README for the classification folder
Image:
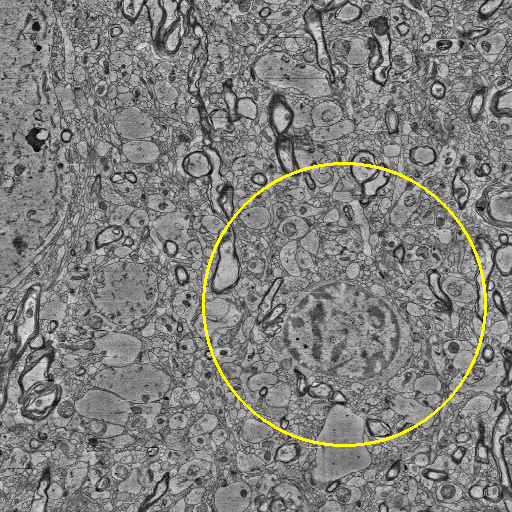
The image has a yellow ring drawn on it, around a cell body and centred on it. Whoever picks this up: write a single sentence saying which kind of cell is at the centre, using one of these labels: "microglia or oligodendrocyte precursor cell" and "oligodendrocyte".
This cell body is that of an oligodendrocyte.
